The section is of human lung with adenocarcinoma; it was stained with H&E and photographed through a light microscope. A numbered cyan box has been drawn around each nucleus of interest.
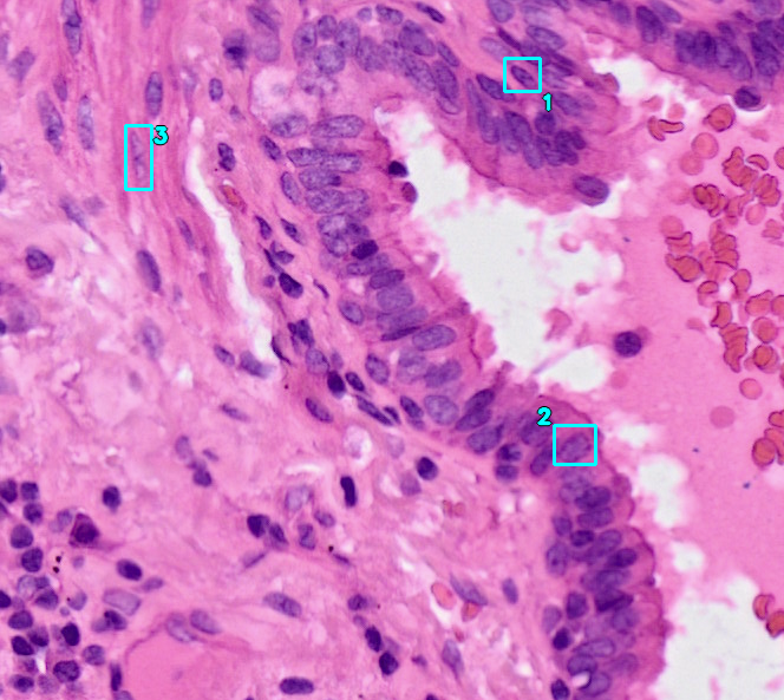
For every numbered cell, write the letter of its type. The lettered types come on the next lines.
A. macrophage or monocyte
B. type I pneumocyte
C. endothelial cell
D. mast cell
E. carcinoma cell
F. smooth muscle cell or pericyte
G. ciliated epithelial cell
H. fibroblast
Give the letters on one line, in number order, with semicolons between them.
G; G; F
